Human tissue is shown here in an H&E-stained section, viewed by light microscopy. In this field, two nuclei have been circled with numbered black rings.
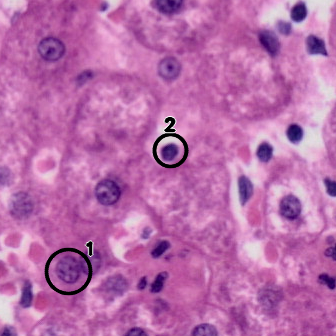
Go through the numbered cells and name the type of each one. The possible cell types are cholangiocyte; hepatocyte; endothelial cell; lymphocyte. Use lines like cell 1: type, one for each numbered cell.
cell 1: hepatocyte
cell 2: lymphocyte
